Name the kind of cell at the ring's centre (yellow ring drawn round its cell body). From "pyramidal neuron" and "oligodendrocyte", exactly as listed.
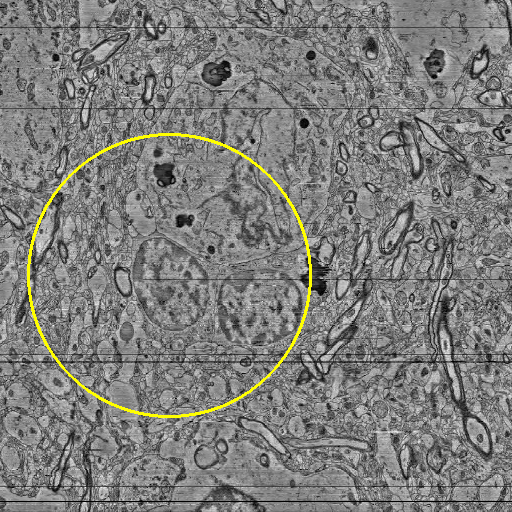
oligodendrocyte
